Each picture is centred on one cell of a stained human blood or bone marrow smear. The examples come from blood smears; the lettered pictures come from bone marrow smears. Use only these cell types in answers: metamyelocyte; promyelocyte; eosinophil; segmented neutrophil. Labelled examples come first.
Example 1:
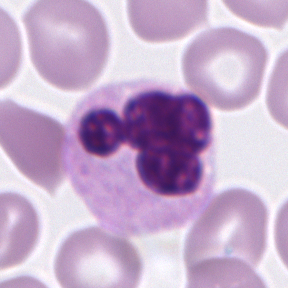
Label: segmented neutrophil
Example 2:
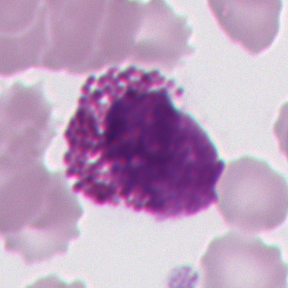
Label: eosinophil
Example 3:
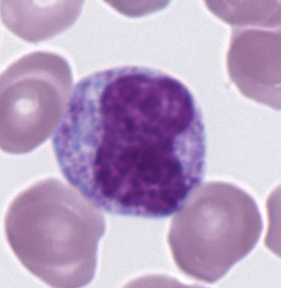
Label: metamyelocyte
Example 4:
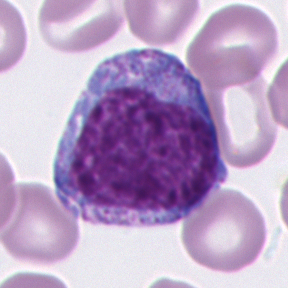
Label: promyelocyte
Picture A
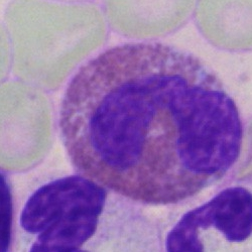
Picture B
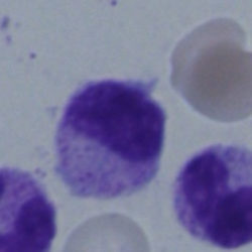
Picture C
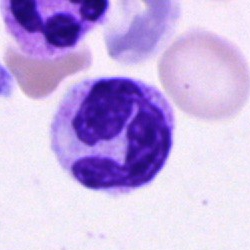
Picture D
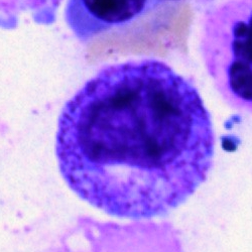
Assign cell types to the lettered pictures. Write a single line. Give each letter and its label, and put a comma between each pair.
A eosinophil, B metamyelocyte, C segmented neutrophil, D promyelocyte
